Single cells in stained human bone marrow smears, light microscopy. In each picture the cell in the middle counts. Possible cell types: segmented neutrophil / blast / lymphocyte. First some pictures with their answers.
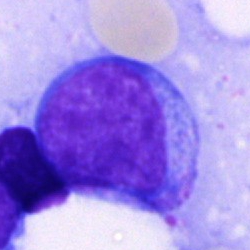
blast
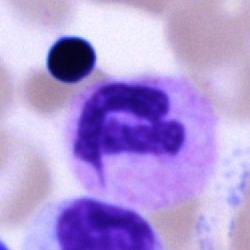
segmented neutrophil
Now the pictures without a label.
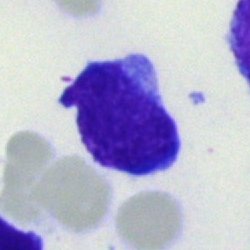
blast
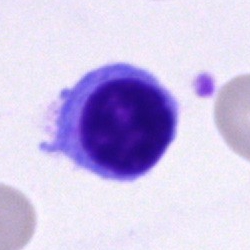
lymphocyte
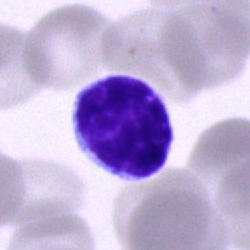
lymphocyte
